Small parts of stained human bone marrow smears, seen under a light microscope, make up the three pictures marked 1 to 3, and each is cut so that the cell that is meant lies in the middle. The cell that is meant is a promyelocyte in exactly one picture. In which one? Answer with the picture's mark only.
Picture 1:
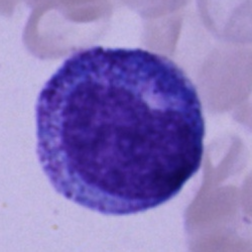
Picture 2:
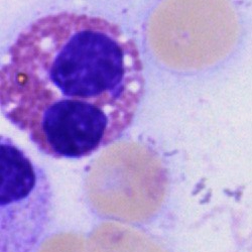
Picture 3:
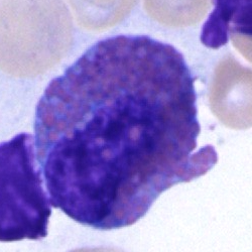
1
